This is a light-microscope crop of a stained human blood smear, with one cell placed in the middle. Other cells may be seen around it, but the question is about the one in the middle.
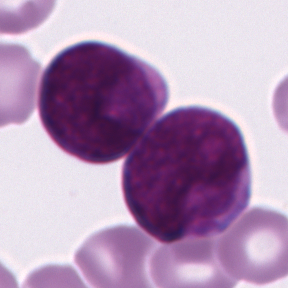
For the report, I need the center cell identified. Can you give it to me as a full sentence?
This crop is built around a myeloblast at its centre.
